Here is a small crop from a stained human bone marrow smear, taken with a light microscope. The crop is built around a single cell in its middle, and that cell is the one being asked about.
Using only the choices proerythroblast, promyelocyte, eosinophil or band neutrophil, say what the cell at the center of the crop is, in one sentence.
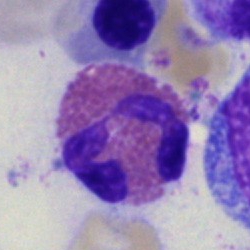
The middle position in this crop is taken by an eosinophil.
